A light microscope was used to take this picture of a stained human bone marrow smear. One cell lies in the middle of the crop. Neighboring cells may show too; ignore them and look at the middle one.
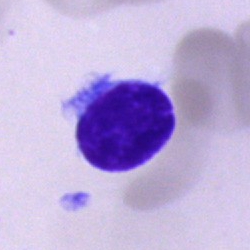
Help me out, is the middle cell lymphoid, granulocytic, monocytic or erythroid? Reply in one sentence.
The central cell is regarded as belonging to the lymphoid lineage.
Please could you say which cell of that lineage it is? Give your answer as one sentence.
The cell around which this crop is centred is a lymphocyte.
